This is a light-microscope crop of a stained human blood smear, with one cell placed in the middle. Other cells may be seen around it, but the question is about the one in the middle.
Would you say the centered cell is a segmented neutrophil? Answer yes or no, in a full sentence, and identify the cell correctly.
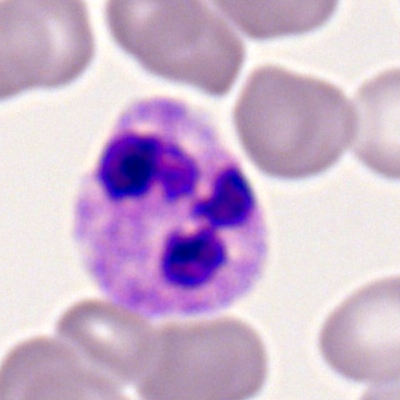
Yes, the crop is centred on a segmented neutrophil.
